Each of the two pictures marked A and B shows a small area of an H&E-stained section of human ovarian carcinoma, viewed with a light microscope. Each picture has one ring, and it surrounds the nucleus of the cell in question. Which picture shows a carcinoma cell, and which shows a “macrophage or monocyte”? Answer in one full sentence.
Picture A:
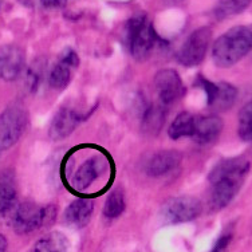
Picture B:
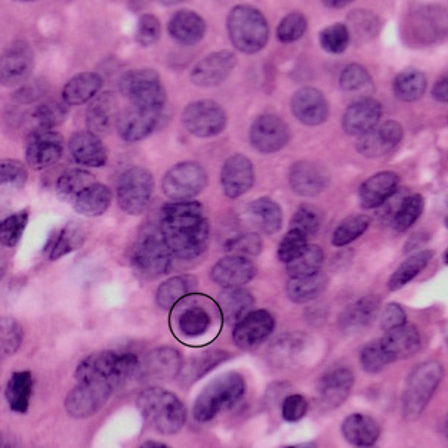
It is picture A that shows a “macrophage or monocyte”, and picture B that shows a carcinoma cell.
